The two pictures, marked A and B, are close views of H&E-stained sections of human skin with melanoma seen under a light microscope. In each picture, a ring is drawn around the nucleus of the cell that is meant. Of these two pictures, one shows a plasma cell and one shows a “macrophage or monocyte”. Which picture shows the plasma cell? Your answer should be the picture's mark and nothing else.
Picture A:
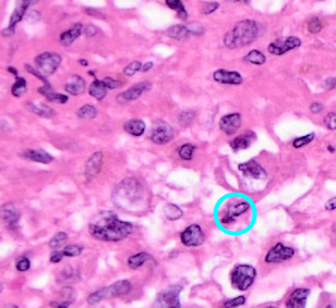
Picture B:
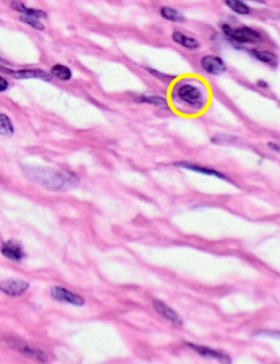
B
